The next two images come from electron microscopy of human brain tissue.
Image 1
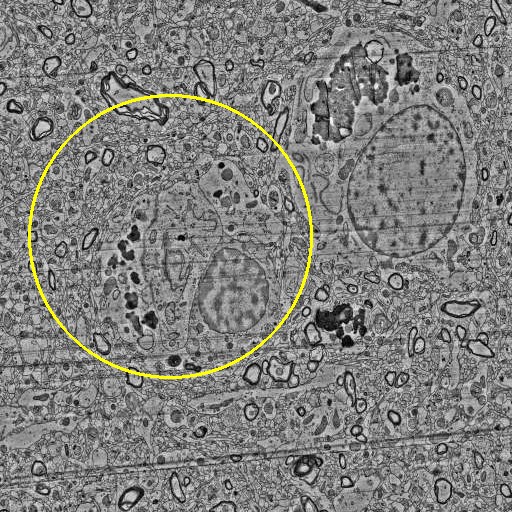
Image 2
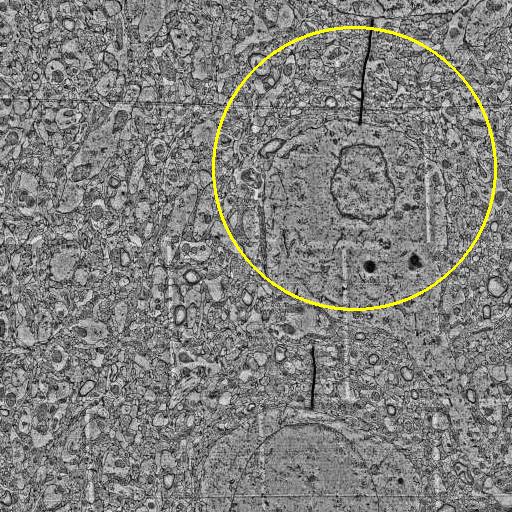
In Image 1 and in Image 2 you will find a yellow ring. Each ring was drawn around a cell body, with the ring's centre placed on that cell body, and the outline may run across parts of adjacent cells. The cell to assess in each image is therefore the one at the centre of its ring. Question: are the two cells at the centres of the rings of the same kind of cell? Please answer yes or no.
yes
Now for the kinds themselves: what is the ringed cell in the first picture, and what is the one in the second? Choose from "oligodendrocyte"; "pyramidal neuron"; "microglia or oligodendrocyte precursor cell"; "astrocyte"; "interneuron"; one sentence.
The first and the second cell are each a pyramidal neuron.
